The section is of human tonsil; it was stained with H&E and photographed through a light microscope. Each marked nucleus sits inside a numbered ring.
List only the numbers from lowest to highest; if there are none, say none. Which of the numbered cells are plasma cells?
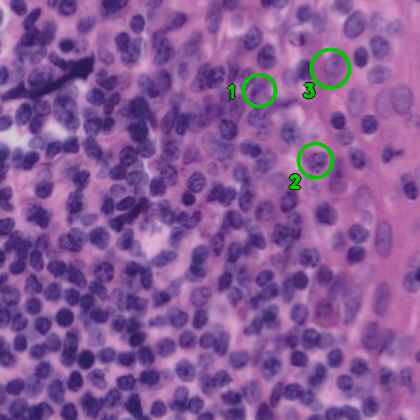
2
